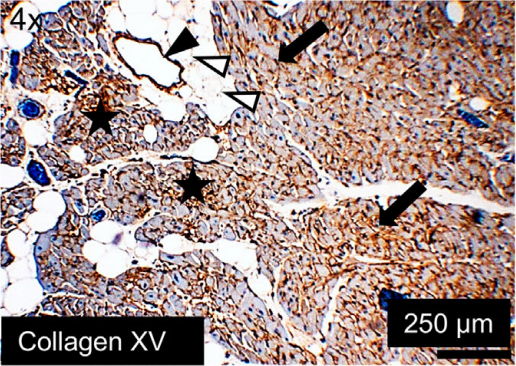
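Clusters of large round empty spaces, the adipocytes of fat tissue, lie among the muscle at the upper left and left edge. A vessel lumen with a brown-rimmed wall sits near the fat, and pale clefts of interstitial tissue run between the bundles.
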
